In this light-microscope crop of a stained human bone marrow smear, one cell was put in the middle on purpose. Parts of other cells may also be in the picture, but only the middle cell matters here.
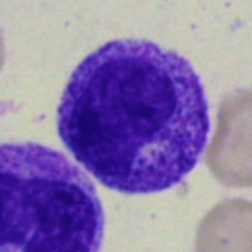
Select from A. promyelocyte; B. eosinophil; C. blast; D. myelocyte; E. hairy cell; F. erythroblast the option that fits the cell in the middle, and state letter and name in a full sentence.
What sits in the middle of the crop is a myelocyte, and option D is correct.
